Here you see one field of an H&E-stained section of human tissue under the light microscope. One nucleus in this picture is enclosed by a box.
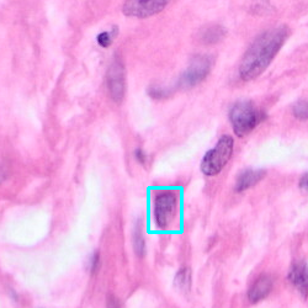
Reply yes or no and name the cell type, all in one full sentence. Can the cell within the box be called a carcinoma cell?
No; the cell within the box should be labelled a fibroblast rather than a carcinoma cell.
